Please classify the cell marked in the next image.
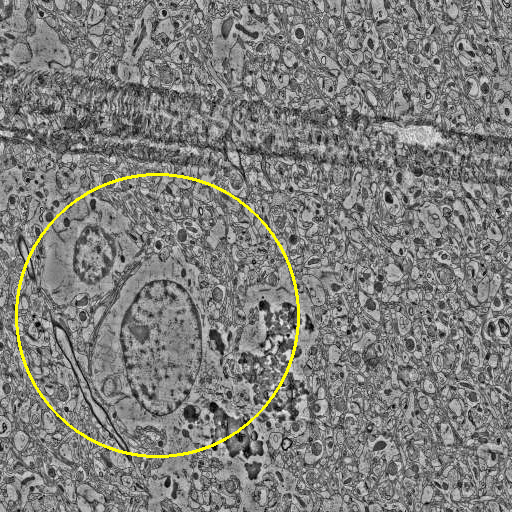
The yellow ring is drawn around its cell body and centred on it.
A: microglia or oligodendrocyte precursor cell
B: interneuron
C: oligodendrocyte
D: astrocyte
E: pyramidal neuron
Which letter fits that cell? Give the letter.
D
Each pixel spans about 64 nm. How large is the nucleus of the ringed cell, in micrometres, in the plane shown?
About 9 by 5 micrometres, the nucleus being clearly longer than it is wide in this plane.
